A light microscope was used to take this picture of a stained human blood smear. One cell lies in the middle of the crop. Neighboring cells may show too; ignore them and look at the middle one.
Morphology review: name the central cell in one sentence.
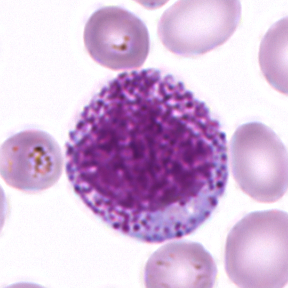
The cell centred in this crop is categorized as a myelocyte.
